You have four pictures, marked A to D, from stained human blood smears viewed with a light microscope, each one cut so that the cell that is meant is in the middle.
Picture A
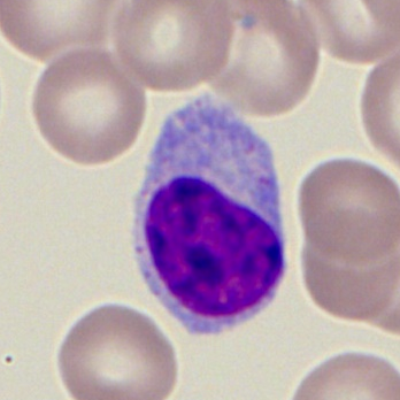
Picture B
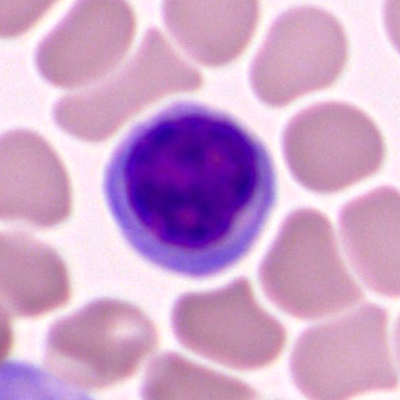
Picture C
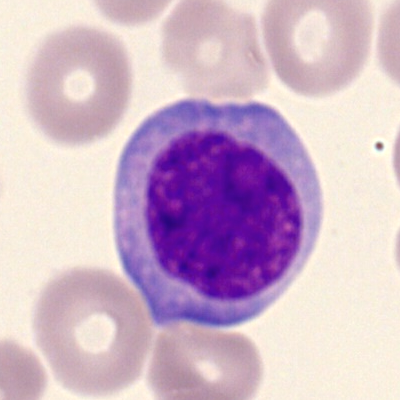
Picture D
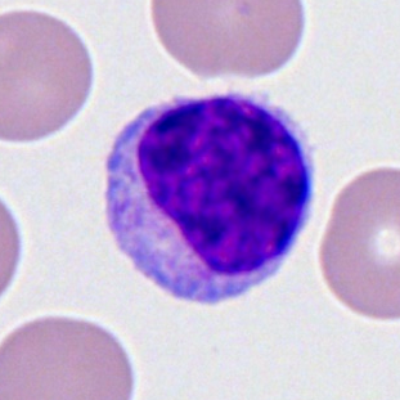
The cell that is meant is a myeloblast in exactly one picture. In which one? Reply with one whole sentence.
The cell in picture C is the myeloblast.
